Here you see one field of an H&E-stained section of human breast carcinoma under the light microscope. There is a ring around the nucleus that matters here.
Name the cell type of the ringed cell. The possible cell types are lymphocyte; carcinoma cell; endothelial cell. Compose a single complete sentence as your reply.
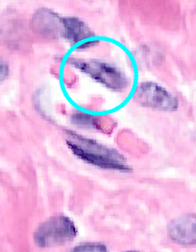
For the purposes of cell typing, the ringed cell is categorized as an endothelial cell.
